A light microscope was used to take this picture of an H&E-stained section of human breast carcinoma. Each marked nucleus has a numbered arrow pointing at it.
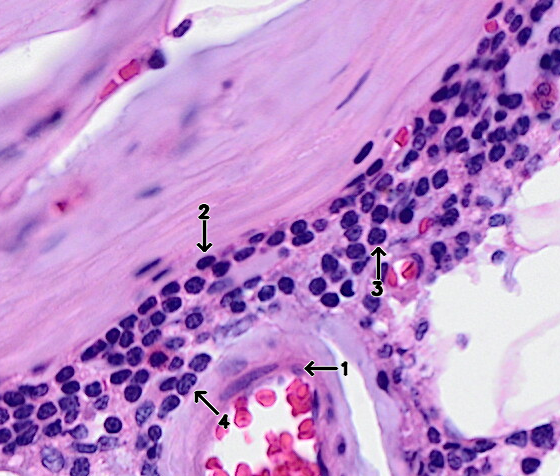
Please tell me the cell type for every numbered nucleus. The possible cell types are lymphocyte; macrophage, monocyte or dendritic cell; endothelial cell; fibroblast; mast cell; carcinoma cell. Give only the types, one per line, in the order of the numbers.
endothelial cell
lymphocyte
lymphocyte
lymphocyte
